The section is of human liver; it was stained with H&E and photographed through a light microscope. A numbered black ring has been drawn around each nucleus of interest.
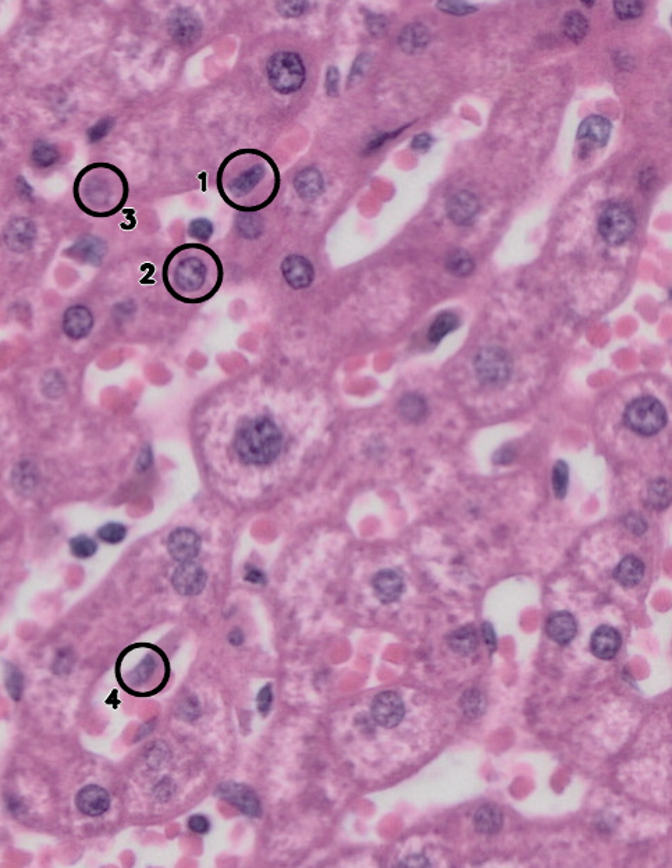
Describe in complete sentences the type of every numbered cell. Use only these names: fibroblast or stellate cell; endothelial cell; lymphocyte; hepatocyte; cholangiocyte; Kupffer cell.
Cell 1 is a fibroblast or stellate cell, cell 2 is a hepatocyte, cell 3 is a hepatocyte and cell 4 is a Kupffer cell.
